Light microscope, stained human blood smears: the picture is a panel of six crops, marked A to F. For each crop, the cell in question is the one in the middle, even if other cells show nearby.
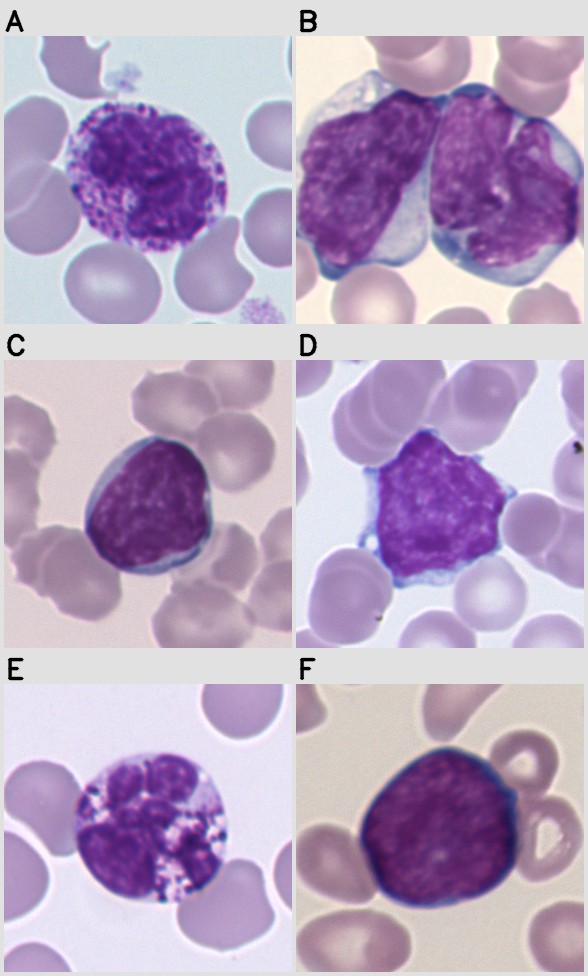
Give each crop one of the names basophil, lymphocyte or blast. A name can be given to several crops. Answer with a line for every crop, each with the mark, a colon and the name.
A: basophil
B: blast
C: lymphocyte
D: lymphocyte
E: basophil
F: blast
